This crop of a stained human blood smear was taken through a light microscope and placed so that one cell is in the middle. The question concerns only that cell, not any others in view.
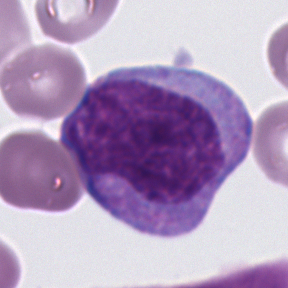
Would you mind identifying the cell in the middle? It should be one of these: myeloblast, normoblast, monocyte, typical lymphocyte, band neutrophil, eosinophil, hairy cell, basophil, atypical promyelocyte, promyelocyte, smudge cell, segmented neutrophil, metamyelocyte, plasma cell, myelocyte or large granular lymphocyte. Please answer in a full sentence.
The cell at the central position in this crop is an atypical promyelocyte.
